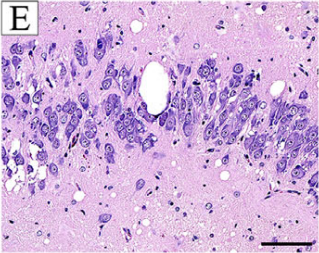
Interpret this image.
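Hippocampal cell layer of large neurons with round pale nuclei and prominent nucleoli set in pink parenchyma. The band is loose and spread out rather than compact, and clear round spaces lie in the surrounding tissue.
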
